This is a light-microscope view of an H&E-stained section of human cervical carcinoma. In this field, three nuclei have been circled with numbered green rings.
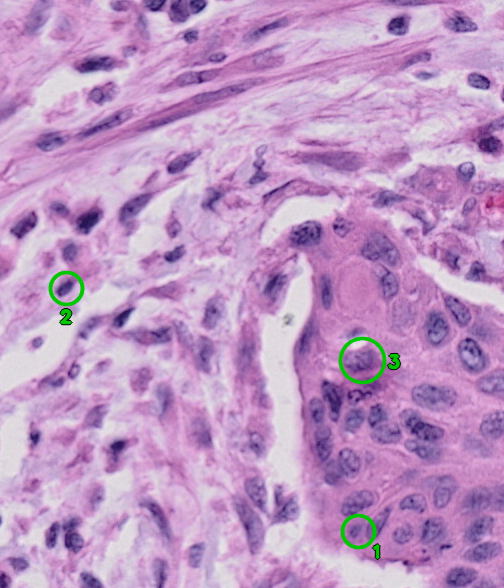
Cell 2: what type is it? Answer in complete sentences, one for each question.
Regarding cell 2, this one is a lymphocyte.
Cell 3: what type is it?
The one numbered 3 among the marked cells is a squamous carcinoma cell.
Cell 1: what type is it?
Cell 1, among those numbered, is a squamous carcinoma cell.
